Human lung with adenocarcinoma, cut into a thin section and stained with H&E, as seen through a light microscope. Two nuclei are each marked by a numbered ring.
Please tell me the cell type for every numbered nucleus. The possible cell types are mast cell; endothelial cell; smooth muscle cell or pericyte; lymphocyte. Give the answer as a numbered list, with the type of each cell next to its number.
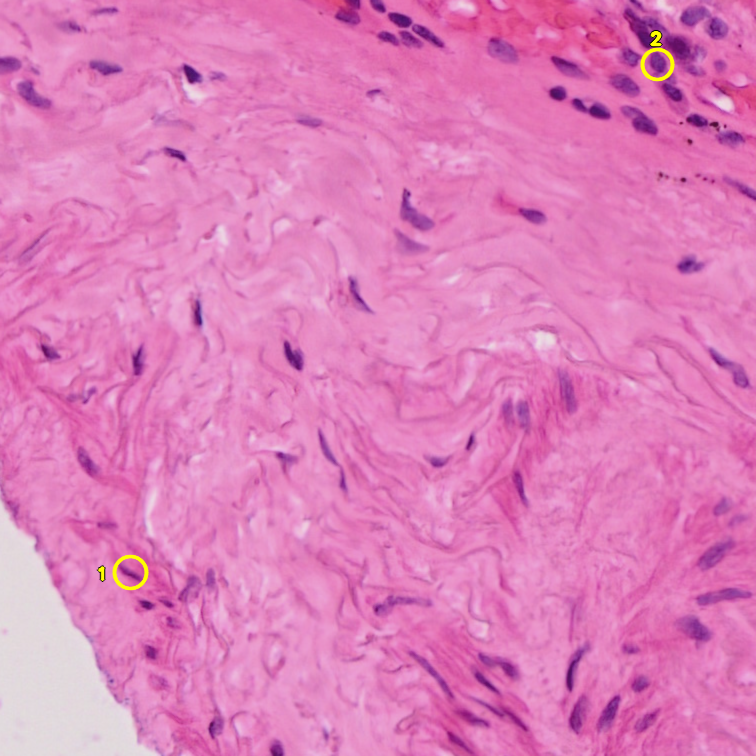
1. smooth muscle cell or pericyte
2. lymphocyte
